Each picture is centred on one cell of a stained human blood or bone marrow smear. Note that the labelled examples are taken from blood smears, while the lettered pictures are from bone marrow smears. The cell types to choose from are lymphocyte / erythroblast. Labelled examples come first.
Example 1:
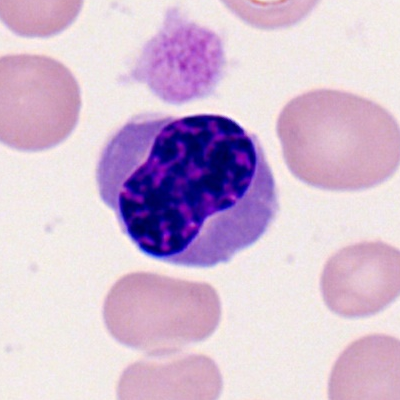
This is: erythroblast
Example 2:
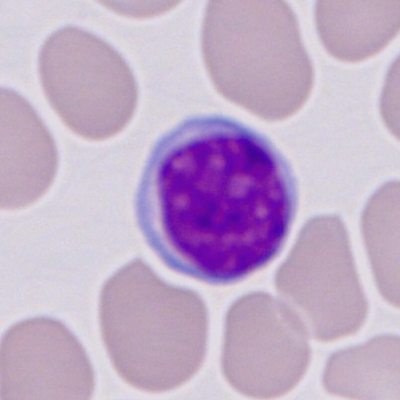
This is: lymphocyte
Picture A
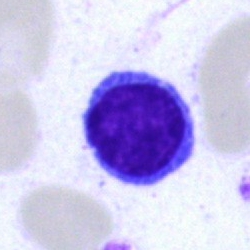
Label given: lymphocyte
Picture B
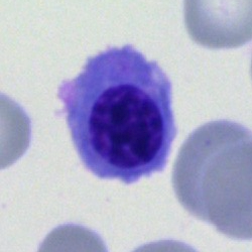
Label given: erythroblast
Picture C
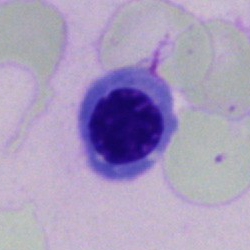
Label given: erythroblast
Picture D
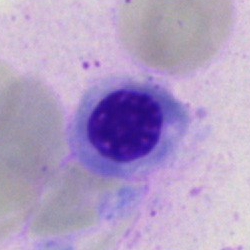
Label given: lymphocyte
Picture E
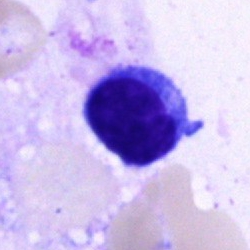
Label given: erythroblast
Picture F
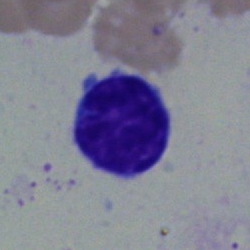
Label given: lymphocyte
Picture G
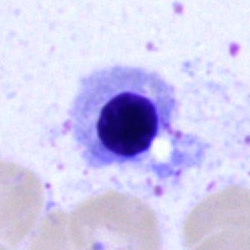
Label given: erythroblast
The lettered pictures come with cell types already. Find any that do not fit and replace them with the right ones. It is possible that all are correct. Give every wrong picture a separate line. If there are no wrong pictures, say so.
D is labelled lymphocyte; correct label: erythroblast
E is labelled erythroblast; correct label: lymphocyte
